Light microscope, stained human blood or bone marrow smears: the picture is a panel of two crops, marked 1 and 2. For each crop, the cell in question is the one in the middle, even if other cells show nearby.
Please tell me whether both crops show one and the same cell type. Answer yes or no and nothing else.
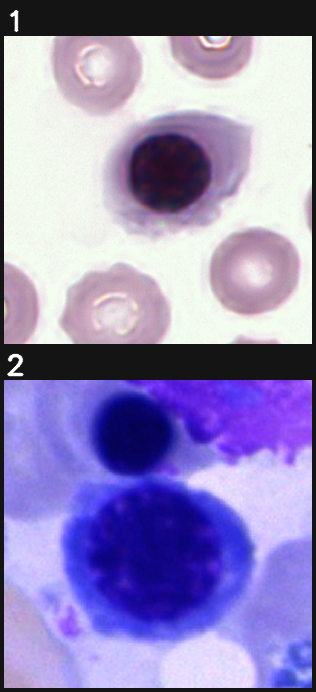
yes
